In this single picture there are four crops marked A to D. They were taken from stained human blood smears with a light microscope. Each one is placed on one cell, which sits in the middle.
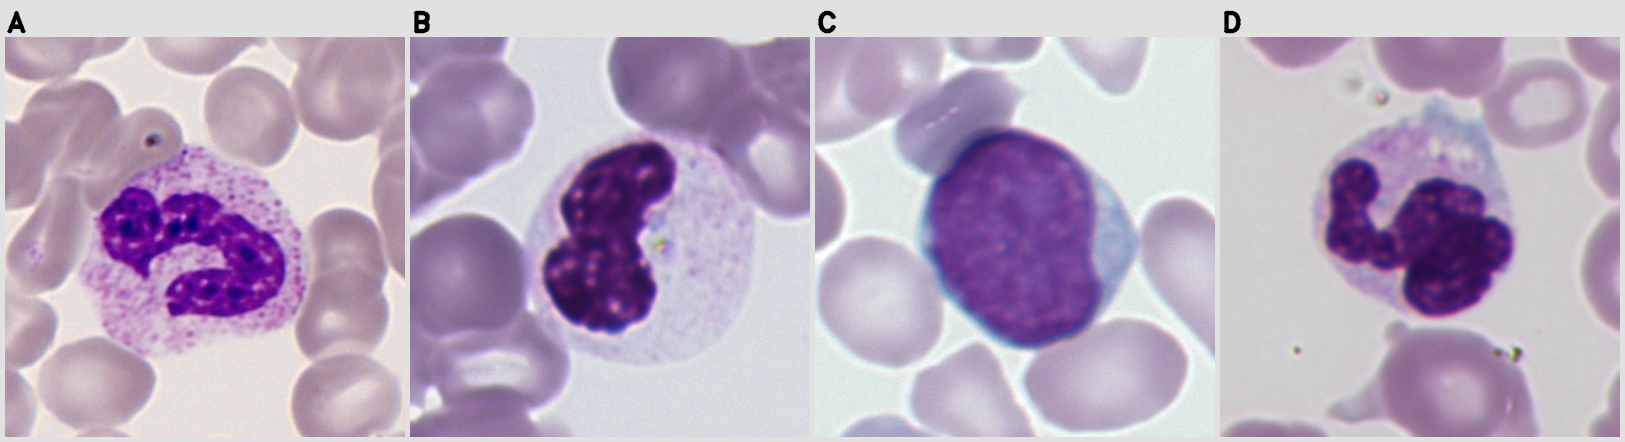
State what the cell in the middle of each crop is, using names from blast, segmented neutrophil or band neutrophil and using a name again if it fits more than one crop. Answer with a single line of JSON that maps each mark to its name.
{"A": "band neutrophil", "B": "band neutrophil", "C": "blast", "D": "segmented neutrophil"}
